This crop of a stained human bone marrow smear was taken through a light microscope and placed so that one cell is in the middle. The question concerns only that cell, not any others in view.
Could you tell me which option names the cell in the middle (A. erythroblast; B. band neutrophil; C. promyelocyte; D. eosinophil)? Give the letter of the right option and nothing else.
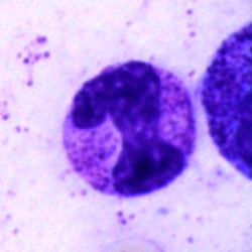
B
